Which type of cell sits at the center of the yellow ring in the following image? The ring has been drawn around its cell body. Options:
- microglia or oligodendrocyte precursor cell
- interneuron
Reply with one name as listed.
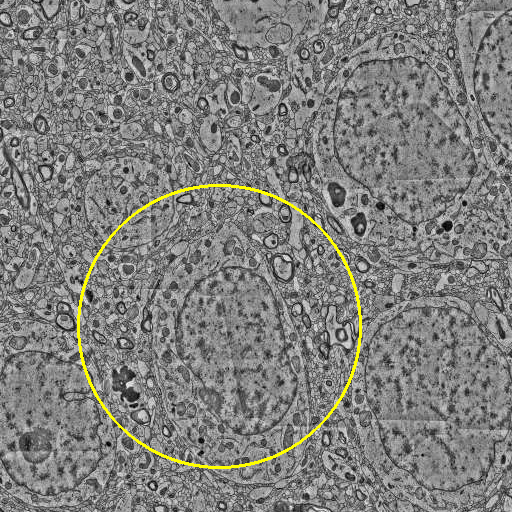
interneuron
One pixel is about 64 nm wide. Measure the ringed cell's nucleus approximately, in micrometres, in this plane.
The nucleus is approximately 11 micrometers long by 7 micrometers wide in this plane.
